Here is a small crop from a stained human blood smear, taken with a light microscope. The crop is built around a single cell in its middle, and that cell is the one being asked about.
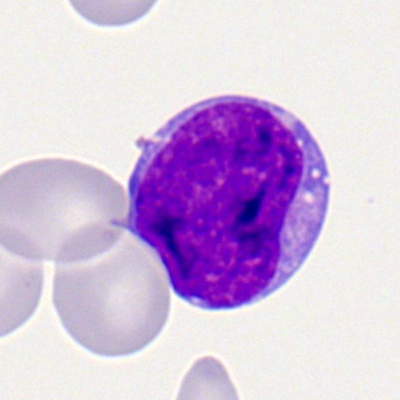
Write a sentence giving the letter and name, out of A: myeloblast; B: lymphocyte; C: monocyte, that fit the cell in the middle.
Here the central cell is a myeloblast, and option A is correct.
